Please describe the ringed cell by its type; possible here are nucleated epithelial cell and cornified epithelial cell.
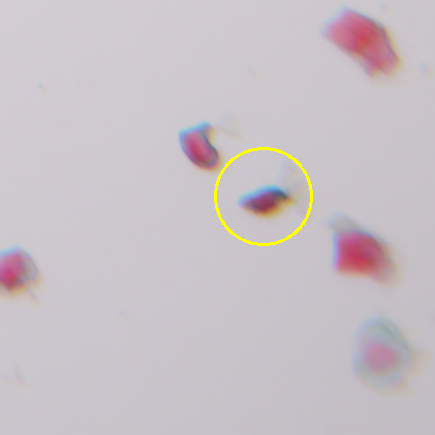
The yellow ring marks a cornified epithelial cell.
